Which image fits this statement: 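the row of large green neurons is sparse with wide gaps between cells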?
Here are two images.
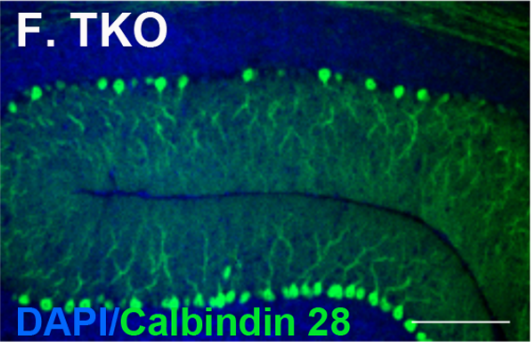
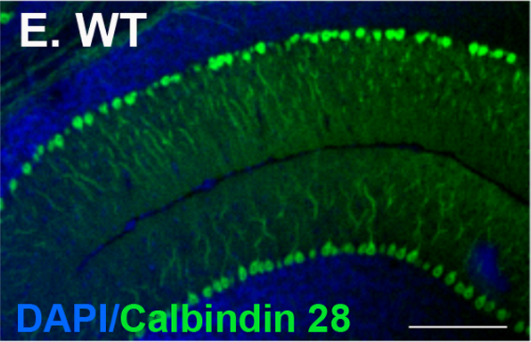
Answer: The first image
